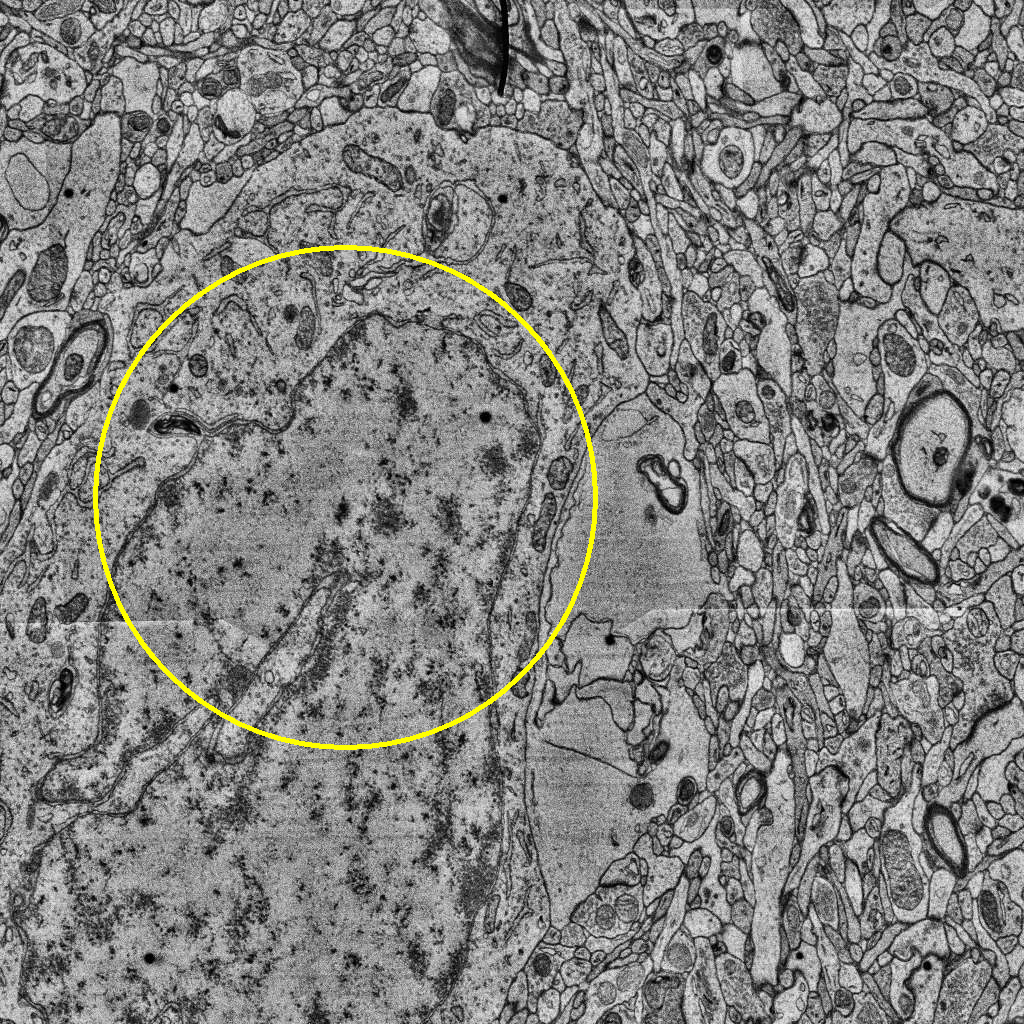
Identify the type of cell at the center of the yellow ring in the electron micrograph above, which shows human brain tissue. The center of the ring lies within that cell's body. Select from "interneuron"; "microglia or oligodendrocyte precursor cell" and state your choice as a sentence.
The center of the yellow ring lies in the body of an interneuron.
